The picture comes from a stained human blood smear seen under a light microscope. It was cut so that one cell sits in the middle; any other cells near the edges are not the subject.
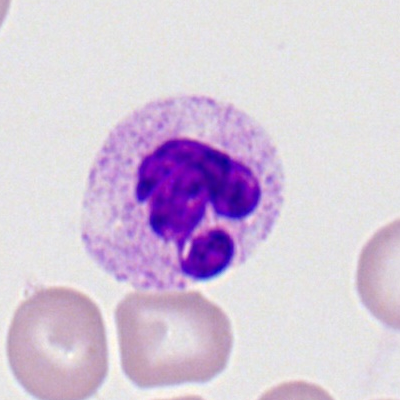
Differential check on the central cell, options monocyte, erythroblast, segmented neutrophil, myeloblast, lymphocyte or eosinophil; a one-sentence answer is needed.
As for the central cell, it is a segmented neutrophil.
